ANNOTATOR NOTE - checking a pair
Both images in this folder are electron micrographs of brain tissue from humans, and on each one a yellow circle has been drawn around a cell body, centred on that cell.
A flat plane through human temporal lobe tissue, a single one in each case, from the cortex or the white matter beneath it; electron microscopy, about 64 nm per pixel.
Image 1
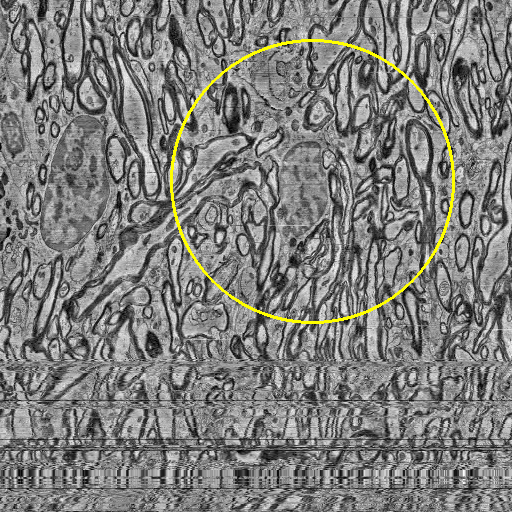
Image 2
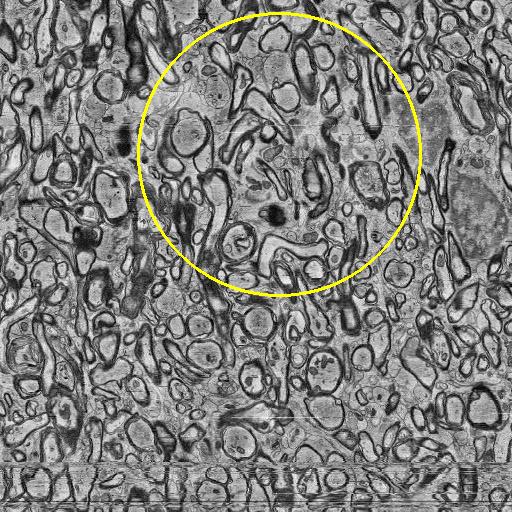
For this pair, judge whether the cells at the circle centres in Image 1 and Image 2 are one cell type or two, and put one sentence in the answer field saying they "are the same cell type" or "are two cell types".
For this pair, the cells at the circle centres in Images 1 and 2 are two cell types.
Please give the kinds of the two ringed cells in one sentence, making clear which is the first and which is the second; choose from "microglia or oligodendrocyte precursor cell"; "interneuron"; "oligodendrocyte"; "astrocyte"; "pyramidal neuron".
In the second picture the ringed cell is a microglial cell or oligodendrocyte precursor cell; in the first it is an oligodendrocyte.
